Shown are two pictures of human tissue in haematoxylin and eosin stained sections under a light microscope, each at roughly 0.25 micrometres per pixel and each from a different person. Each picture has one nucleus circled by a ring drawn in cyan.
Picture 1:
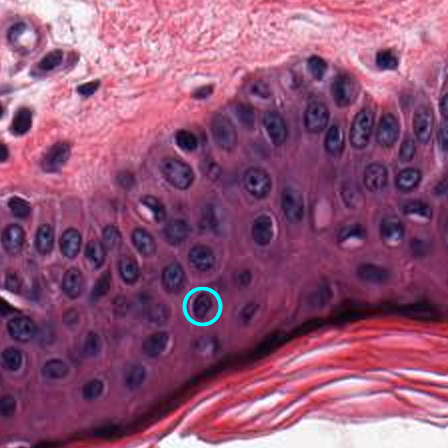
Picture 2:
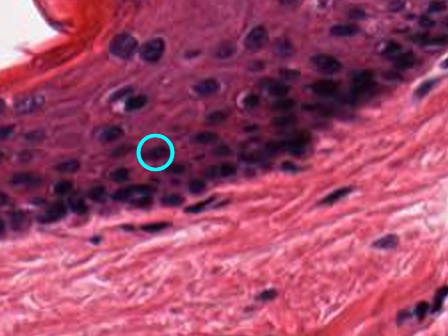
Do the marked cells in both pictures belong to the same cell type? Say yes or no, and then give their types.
Yes, both are keratinocytes.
